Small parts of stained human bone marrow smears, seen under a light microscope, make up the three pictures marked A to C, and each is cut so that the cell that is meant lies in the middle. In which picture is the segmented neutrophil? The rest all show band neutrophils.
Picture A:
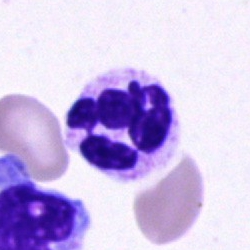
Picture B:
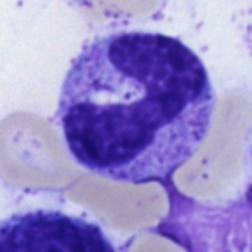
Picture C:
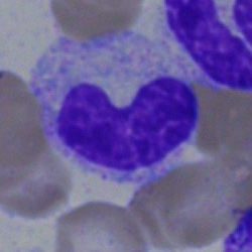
A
